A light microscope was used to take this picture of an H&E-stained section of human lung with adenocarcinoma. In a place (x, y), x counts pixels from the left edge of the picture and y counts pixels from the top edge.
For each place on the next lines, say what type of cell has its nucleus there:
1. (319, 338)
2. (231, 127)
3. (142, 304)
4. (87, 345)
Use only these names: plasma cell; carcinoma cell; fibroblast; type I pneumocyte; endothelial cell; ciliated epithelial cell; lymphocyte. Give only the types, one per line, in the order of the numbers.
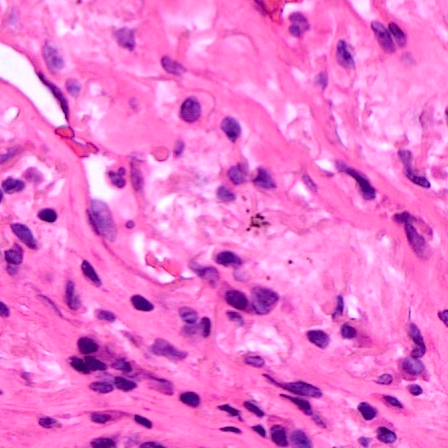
lymphocyte
lymphocyte
lymphocyte
plasma cell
